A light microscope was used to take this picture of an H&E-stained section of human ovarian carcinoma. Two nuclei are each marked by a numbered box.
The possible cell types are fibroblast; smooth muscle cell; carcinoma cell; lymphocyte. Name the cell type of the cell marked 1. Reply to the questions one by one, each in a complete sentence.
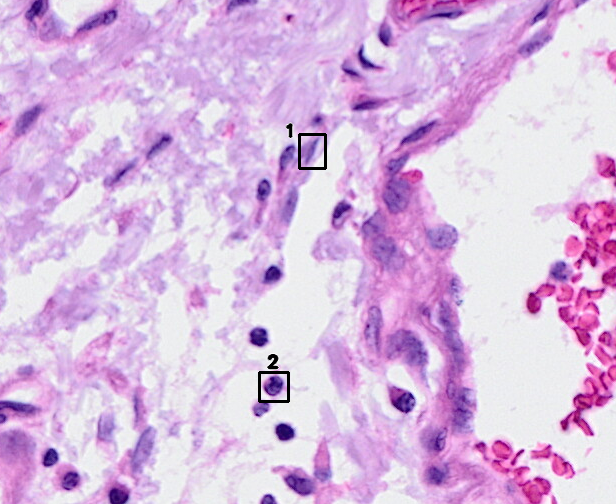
The correct answer for cell 1 is a fibroblast.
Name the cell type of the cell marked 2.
Cell 2 should be recorded as a lymphocyte.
